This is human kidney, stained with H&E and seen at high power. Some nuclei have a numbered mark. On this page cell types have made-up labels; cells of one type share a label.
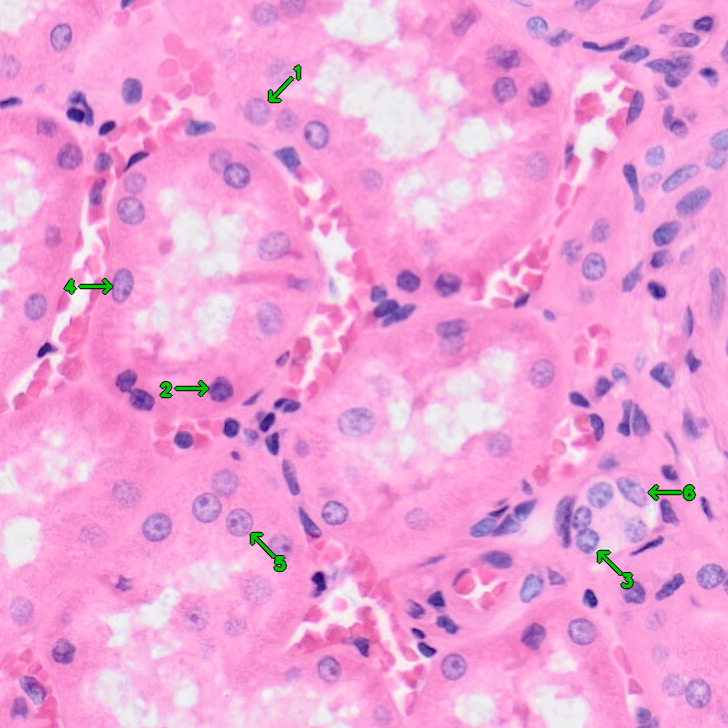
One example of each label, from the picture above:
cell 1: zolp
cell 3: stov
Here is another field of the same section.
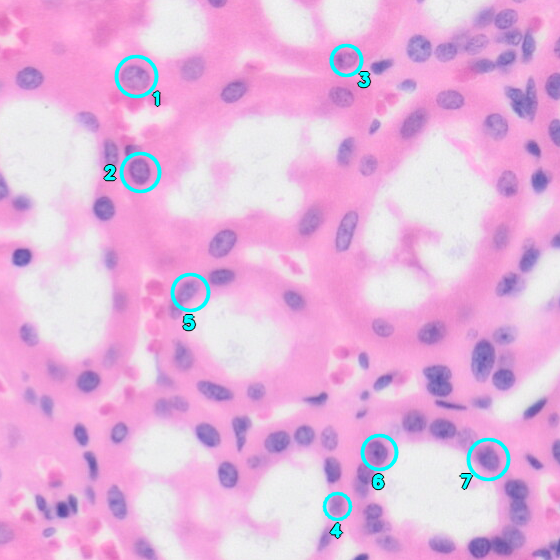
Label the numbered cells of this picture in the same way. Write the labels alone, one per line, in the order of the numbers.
zolp
zolp
zolp
stov
stov
stov
stov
